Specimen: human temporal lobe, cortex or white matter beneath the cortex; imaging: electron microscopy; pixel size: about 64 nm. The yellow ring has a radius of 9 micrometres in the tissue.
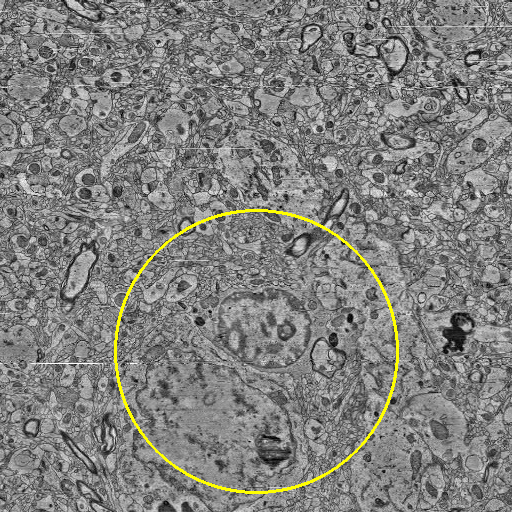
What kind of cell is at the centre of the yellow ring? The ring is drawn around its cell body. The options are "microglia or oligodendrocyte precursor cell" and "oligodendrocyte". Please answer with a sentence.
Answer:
The yellow ring marks the cell body of an oligodendrocyte.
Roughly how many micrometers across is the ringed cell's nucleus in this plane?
In this plane, about 6 micrometres in length and 5 in width.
